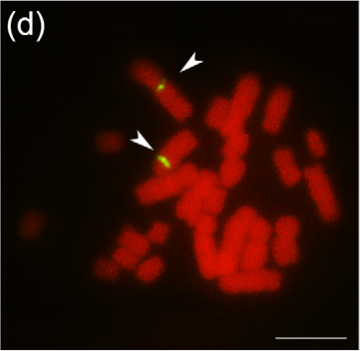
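Here a spread of condensed mitotic metaphase chromosomes is stained red against a dark background. The chromosomes range from long rods to small compact ones, scattered across the field. Apart from these two sites, the chromosomes show only red staining.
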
